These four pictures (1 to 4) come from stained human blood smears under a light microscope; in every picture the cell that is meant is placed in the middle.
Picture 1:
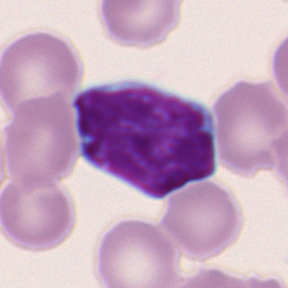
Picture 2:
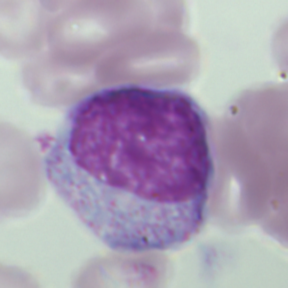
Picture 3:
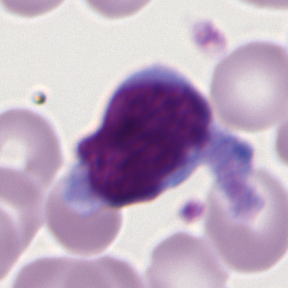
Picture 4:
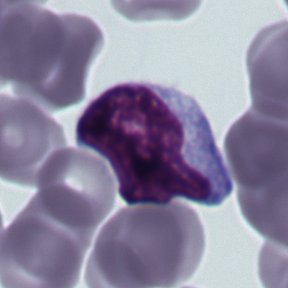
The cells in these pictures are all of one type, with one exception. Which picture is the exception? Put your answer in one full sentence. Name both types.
Unlike the rest, which show typical lymphocytes, picture 2 shows a promyelocyte.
